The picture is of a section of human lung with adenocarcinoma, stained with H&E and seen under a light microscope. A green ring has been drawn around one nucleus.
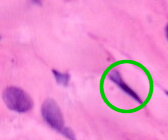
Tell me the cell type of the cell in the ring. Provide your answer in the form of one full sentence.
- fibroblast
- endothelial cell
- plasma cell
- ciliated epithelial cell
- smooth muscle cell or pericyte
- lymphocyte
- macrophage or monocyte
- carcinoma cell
It is as a fibroblast that the cell in the ring is recorded.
